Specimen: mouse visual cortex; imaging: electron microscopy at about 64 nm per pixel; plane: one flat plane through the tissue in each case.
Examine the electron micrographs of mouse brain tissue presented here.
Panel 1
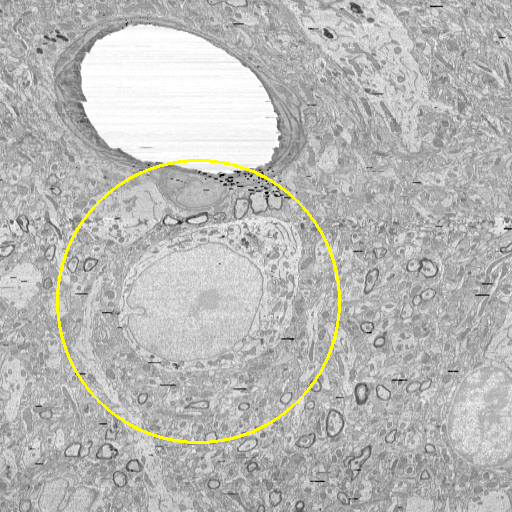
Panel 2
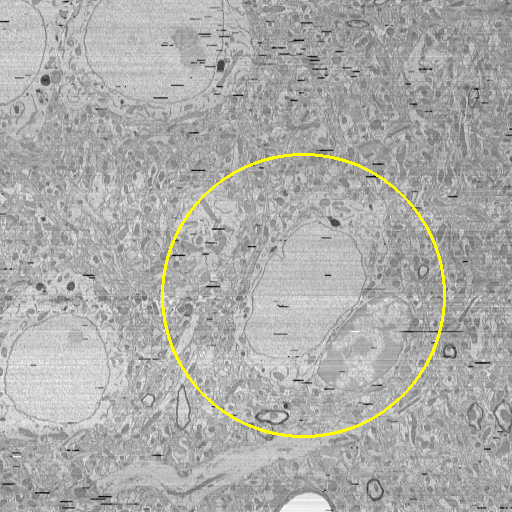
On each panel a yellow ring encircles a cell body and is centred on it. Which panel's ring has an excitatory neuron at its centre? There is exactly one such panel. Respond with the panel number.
2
